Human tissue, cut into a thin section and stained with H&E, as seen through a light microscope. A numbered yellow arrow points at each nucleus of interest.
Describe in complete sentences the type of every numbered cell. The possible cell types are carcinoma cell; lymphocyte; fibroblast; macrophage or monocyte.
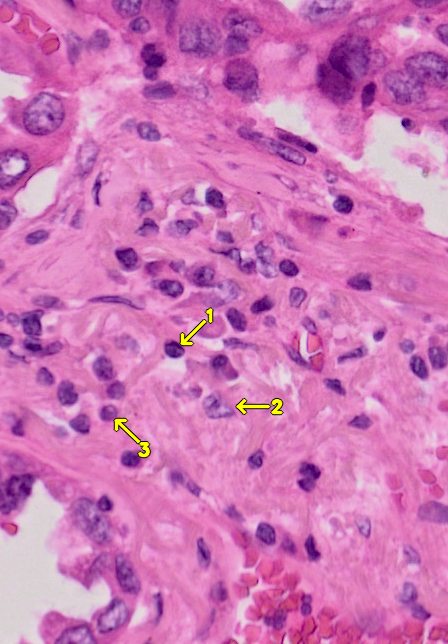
Cell 1 is a lymphocyte, cell 2 is a fibroblast and cell 3 is a lymphocyte.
